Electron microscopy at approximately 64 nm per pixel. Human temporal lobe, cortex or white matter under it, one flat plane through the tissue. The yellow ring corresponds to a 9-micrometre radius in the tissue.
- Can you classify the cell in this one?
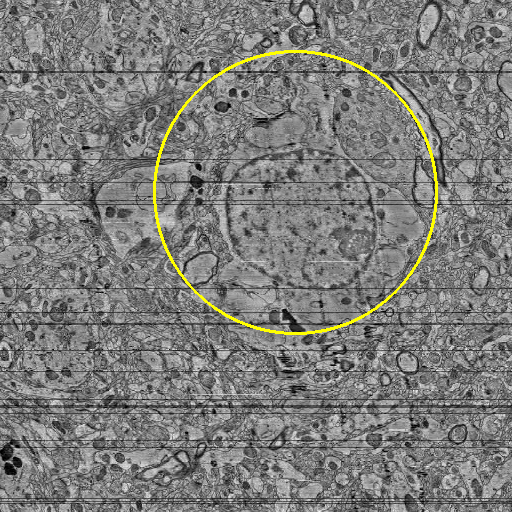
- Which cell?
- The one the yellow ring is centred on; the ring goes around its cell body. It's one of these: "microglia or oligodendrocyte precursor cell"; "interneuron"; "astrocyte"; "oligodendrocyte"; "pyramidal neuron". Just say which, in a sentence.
The cell body in the ring belongs to an astrocyte.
